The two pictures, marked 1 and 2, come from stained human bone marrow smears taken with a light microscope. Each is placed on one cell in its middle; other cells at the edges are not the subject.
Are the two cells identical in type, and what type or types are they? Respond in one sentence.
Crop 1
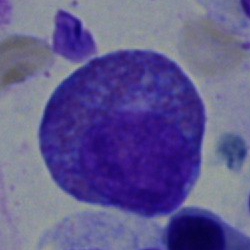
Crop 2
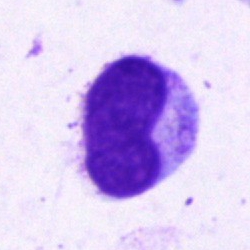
No, the middle of crop 1 holds an eosinophil, and the middle of crop 2 holds a metamyelocyte.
